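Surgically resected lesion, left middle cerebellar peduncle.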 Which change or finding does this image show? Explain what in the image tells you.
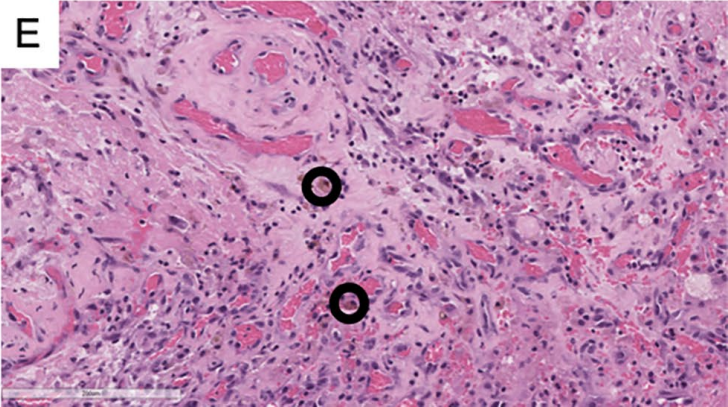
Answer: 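Aggregates of vascular proliferation. Numerous closely packed small vessels filled with red blood cells. Some vessels have thick pink walls. Cellular tissue lies between the vessels.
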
